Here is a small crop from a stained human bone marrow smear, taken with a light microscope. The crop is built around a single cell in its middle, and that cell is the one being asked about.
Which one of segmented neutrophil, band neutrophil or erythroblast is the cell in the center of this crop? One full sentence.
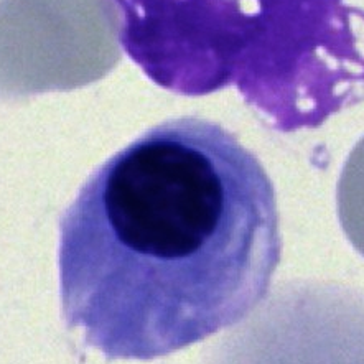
The identification for the central cell is an erythroblast.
